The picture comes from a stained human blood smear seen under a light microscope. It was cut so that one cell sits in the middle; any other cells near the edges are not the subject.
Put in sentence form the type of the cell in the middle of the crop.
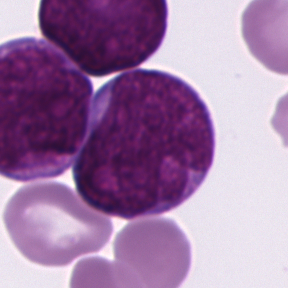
The crop's centre is taken up by a myeloblast.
